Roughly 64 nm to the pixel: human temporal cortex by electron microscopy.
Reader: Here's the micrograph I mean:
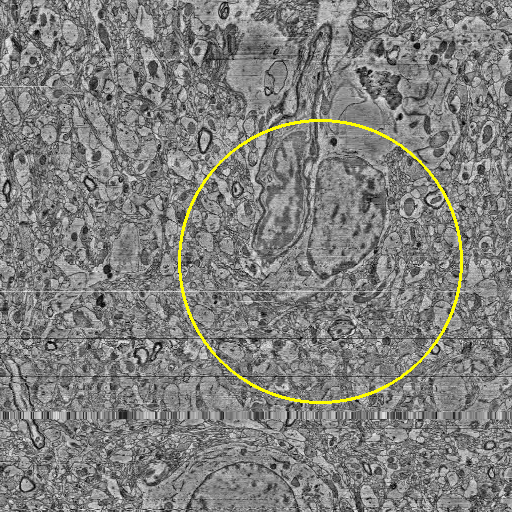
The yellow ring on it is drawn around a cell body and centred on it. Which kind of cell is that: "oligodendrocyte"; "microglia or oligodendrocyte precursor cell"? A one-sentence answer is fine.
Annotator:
The ring is centred on a microglial cell or oligodendrocyte precursor cell.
